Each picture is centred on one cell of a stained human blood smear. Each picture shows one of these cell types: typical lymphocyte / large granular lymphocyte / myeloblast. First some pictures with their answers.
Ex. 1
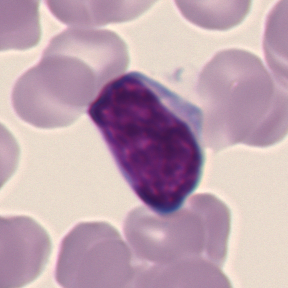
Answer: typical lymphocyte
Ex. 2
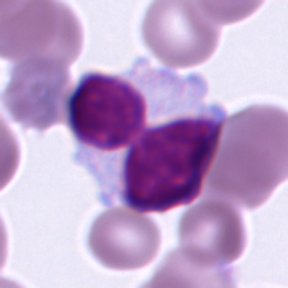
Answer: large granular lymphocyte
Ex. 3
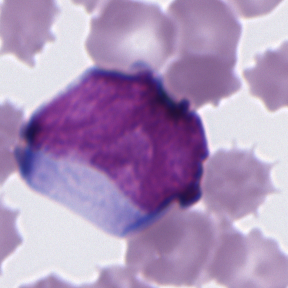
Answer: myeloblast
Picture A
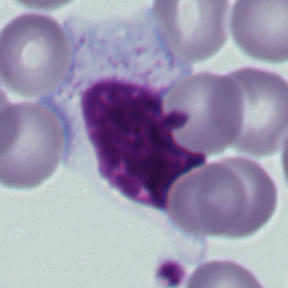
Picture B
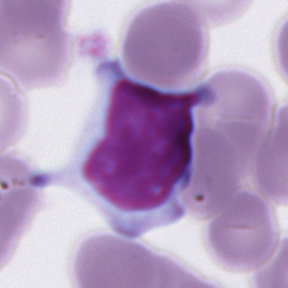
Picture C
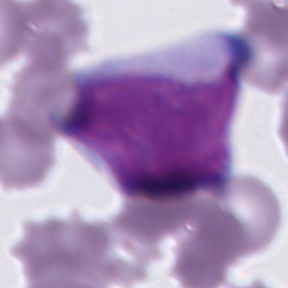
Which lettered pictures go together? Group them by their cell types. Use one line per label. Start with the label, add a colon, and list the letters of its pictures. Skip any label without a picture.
typical lymphocyte: B
large granular lymphocyte: A
myeloblast: C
